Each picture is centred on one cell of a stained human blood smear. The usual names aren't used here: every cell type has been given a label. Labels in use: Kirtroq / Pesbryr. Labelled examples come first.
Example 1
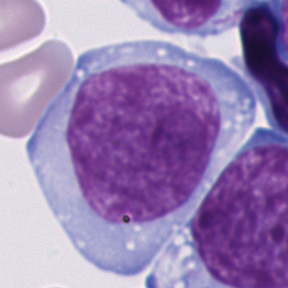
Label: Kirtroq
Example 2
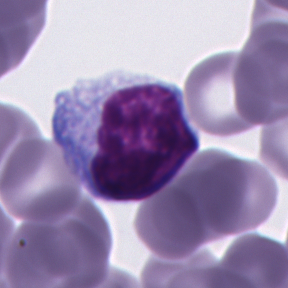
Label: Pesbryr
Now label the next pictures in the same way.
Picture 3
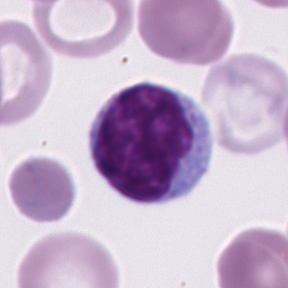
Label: Pesbryr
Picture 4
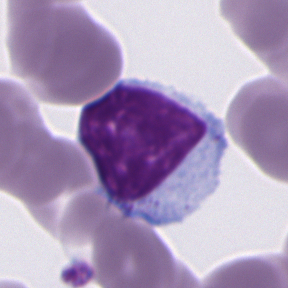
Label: Pesbryr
